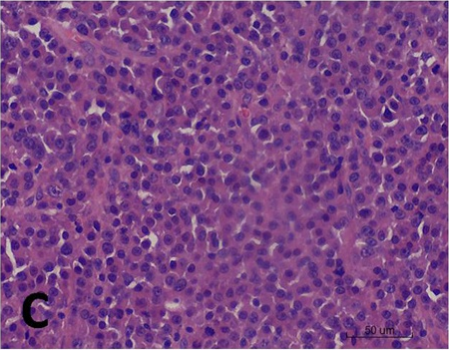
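This is a tumor made up of neoplastic plasma cells growing in diffuse, closely packed sheets. The cells are round to oval and fairly uniform in size. Each has a round, dark purple nucleus, often set towards one side of the cell. The cytoplasm is moderate in amount and pink to purplish. Very little stroma lies between the cells, and only small clefts and thin vessels separate them.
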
